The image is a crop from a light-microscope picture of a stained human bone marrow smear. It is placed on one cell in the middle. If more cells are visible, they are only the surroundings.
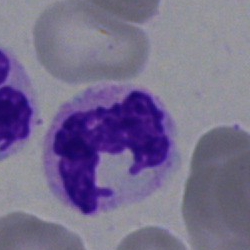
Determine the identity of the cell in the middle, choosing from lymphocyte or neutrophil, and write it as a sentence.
The single cell at the center of the crop is a neutrophil.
